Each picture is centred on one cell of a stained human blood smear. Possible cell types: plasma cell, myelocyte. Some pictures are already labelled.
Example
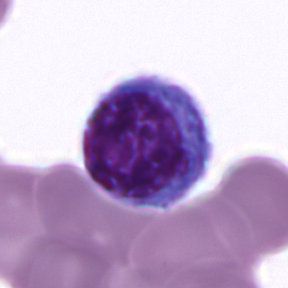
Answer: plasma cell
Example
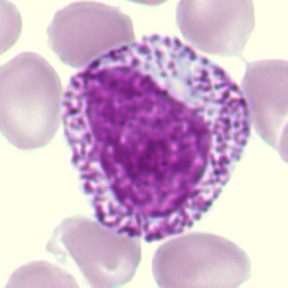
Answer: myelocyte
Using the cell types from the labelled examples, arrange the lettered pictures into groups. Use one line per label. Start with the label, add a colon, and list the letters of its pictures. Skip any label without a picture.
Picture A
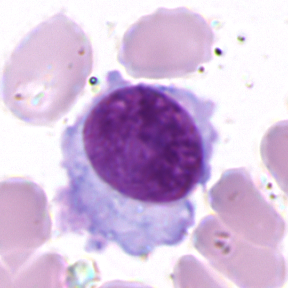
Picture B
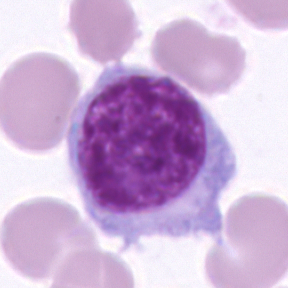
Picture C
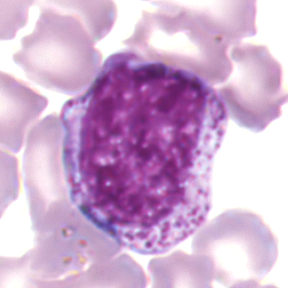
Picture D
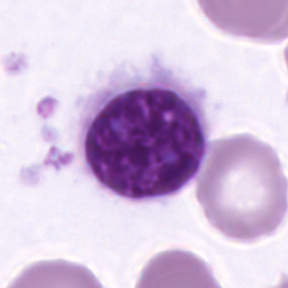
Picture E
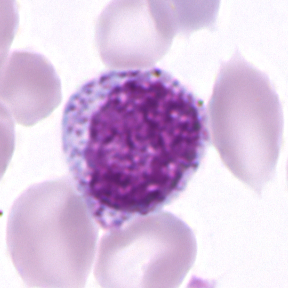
plasma cell: A, B, D
myelocyte: C, E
